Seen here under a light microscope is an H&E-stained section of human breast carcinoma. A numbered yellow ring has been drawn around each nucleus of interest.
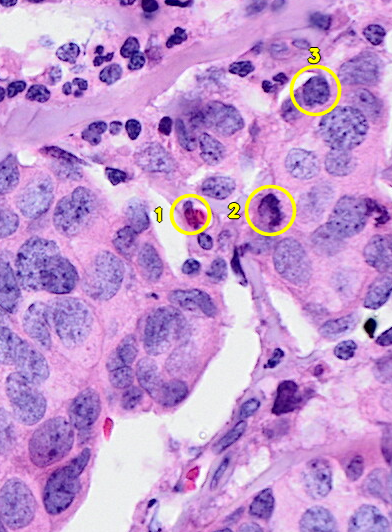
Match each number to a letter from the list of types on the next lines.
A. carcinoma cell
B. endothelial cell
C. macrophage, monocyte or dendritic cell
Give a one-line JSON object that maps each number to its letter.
{"1": "B", "2": "A", "3": "A"}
